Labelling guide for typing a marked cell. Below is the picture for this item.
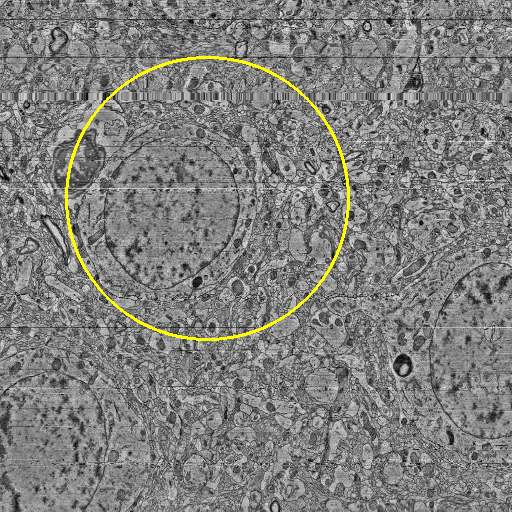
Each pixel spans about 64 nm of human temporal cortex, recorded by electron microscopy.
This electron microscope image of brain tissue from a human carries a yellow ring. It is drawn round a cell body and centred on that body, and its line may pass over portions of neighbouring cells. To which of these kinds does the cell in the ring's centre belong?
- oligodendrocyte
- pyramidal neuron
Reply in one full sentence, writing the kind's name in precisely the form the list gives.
Here we have a pyramidal neuron at the centre of the yellow ring in the picture.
